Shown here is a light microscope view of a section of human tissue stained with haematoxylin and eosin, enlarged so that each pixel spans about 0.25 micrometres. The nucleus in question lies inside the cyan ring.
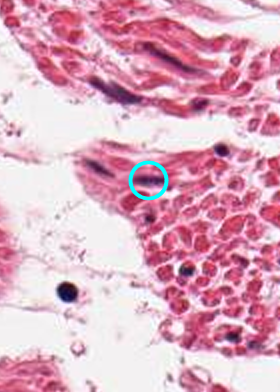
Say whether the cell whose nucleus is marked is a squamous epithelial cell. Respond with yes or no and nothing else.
no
